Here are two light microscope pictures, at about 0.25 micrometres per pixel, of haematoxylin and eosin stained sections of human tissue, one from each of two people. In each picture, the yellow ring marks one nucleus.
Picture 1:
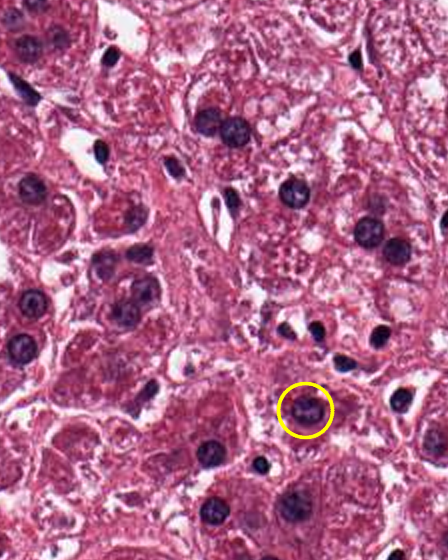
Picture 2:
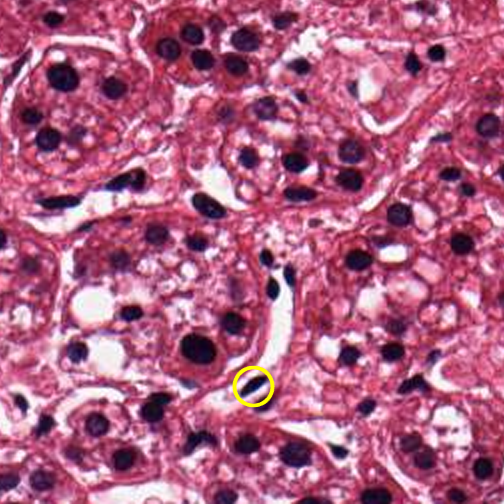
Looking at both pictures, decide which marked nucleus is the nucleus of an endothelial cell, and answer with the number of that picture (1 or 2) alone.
2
